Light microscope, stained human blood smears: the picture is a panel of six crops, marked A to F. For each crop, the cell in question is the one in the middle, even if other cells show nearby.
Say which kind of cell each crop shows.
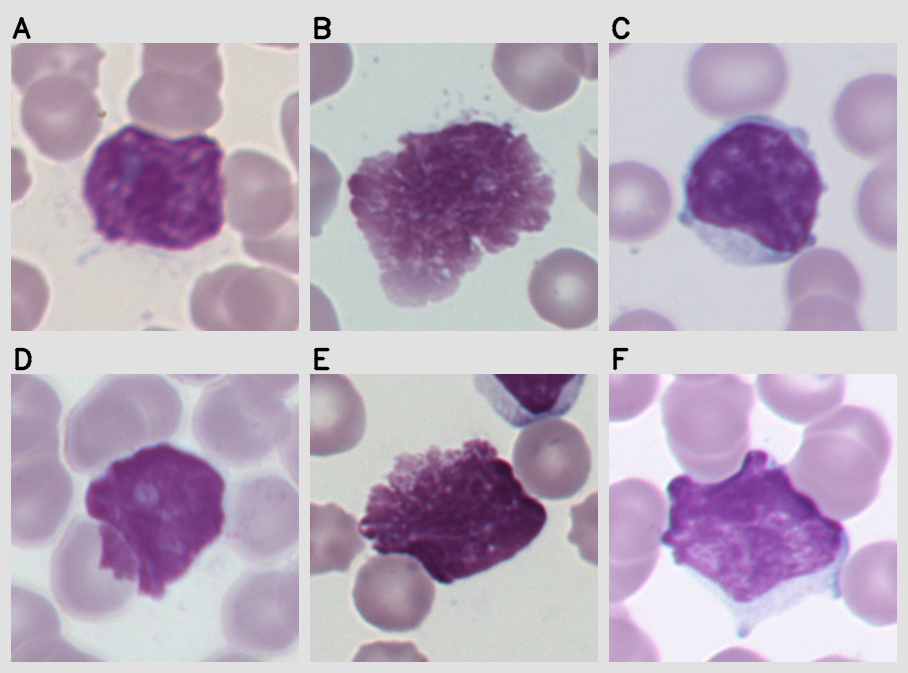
A: smudge cell
B: smudge cell
C: typical lymphocyte
D: smudge cell
E: smudge cell
F: typical lymphocyte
